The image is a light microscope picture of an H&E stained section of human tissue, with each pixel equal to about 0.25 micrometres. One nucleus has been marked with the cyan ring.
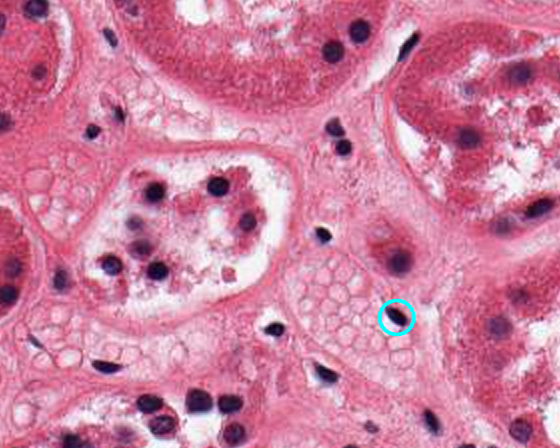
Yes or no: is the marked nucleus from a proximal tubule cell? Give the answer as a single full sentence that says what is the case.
No, the marked nucleus belongs to a supporting cell, and a proximal tubule cell is not its owner.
